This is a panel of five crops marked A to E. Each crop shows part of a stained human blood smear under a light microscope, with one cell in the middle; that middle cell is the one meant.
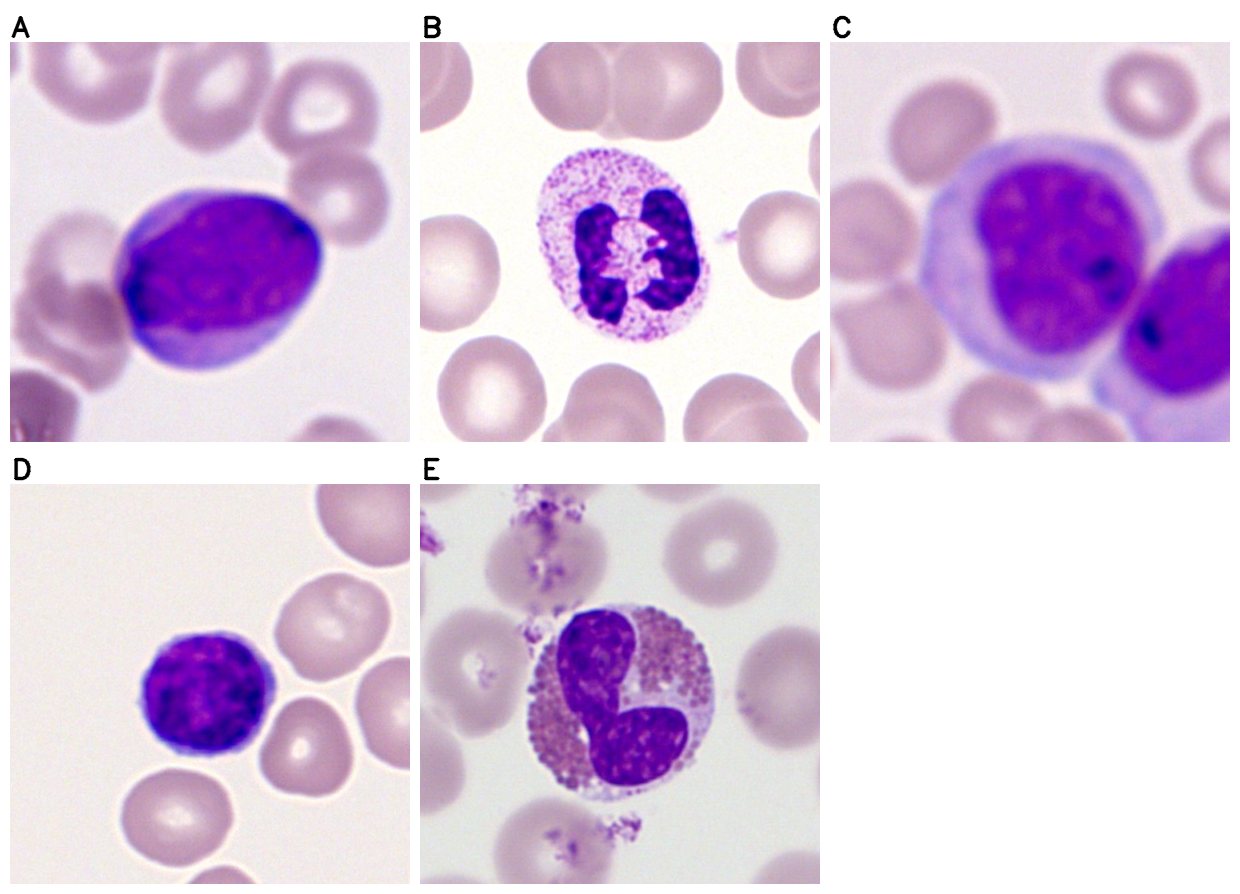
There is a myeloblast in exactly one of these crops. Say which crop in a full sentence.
Crop A is the crop featuring a myeloblast at its center.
